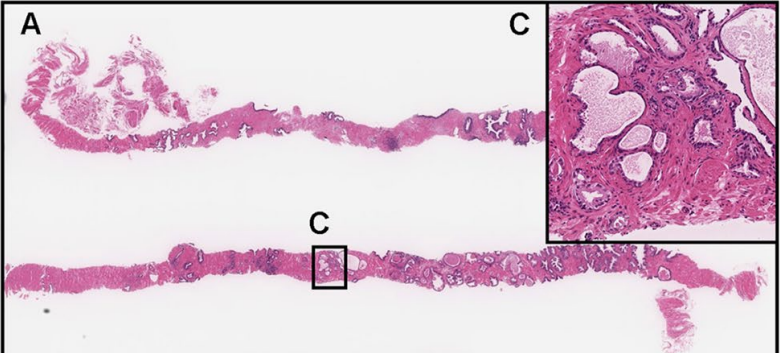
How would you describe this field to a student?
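Low-power view of needle biopsy cores of glandular tissue with an enlarged inset of a gland-rich area. The cores are pink fibromuscular stroma studded with many glands. In the inset the glands vary greatly in size, some large and irregular, with open dilated lumina. Their epithelial lining is thin and flattened, and some lumina hold pale pink material. Spindle-shaped stromal nuclei run between the glands.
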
